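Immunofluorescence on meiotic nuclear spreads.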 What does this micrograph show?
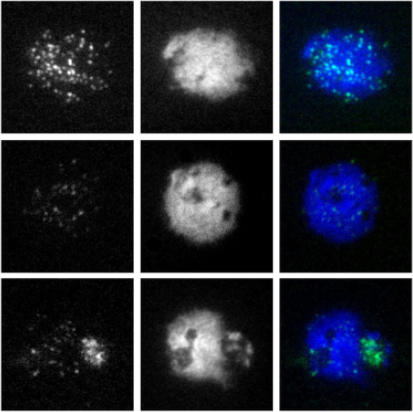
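The counterstain shows an irregular, mottled chromatin texture with darker gaps. In the merged images green foci lie over the blue chromatin.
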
